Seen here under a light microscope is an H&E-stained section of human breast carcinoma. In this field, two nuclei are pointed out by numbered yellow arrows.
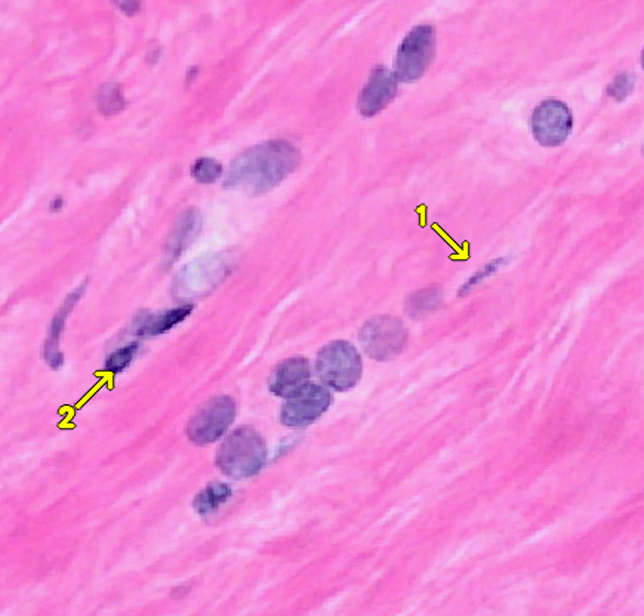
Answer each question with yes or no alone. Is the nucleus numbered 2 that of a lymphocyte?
yes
